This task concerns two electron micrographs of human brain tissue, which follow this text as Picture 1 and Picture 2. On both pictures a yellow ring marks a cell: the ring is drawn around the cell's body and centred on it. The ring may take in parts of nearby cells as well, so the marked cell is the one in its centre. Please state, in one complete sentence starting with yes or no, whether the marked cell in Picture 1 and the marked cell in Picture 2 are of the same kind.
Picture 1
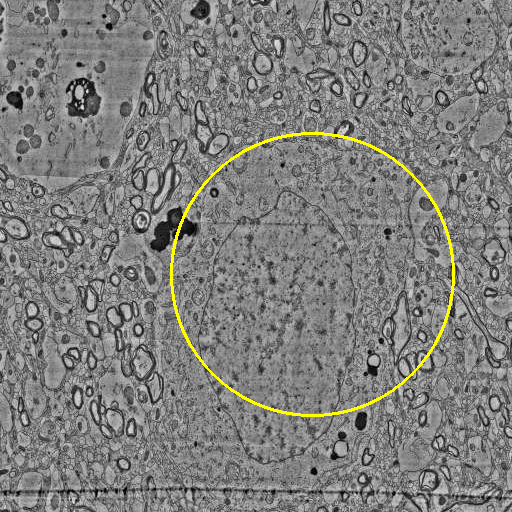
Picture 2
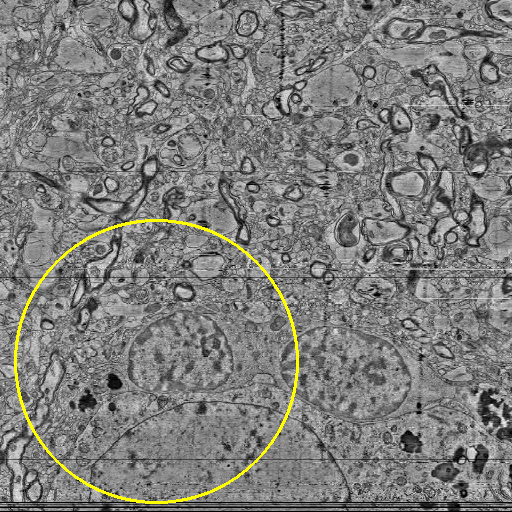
No, the marked cells in the two pictures are of two kinds.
